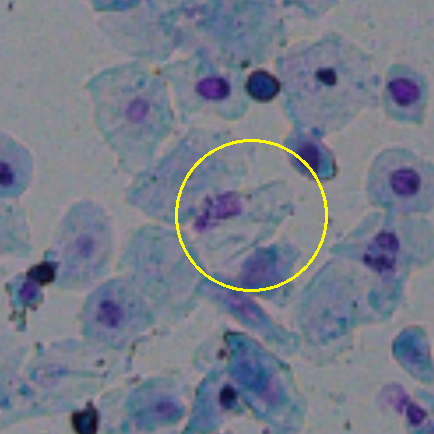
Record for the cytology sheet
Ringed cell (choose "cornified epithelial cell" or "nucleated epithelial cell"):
cornified epithelial cell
